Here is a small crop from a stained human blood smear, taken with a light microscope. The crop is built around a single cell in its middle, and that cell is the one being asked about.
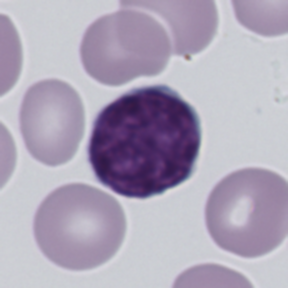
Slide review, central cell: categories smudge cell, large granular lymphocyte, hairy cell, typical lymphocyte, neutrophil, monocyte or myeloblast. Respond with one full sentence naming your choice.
For this crop, the cell in the middle is a typical lymphocyte.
